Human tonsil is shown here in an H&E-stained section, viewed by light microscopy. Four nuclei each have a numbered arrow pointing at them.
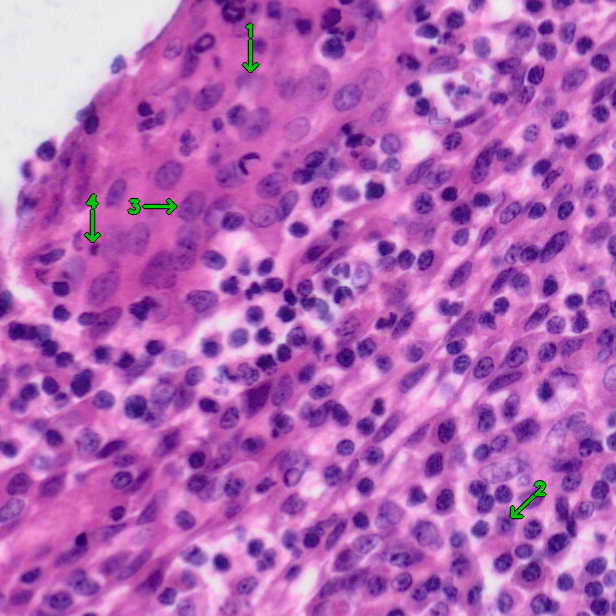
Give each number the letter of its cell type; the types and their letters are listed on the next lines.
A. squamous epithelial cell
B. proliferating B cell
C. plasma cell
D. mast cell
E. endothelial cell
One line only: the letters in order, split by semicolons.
A; C; A; A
